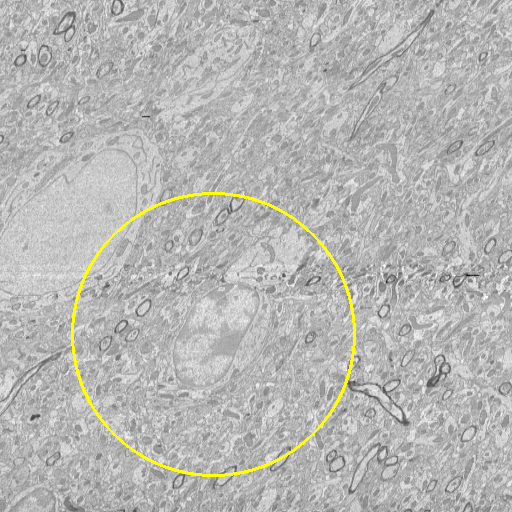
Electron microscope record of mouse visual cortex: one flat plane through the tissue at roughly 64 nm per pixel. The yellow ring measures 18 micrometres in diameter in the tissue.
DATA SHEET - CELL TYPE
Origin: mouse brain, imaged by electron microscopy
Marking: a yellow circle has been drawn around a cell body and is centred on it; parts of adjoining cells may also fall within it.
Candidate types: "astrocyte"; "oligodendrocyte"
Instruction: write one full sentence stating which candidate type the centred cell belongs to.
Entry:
The cell body at the centre of the yellow ring in this micrograph belongs to an oligodendrocyte.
